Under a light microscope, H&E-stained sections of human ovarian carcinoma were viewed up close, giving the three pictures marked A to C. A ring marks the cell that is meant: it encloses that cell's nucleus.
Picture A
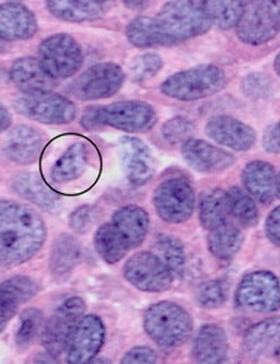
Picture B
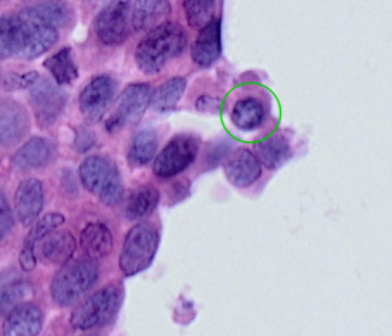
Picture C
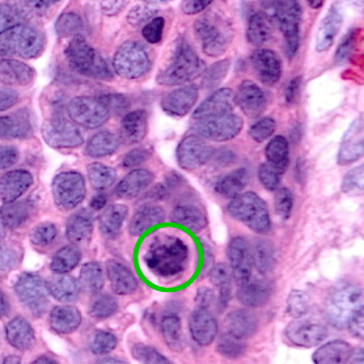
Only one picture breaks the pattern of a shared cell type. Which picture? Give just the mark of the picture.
C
